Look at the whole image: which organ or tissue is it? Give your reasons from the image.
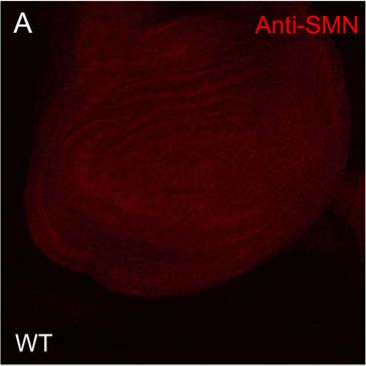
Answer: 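An oval epithelial sac with a central pouch. Concentric curved folds surround the pouch.
Wing discs.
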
